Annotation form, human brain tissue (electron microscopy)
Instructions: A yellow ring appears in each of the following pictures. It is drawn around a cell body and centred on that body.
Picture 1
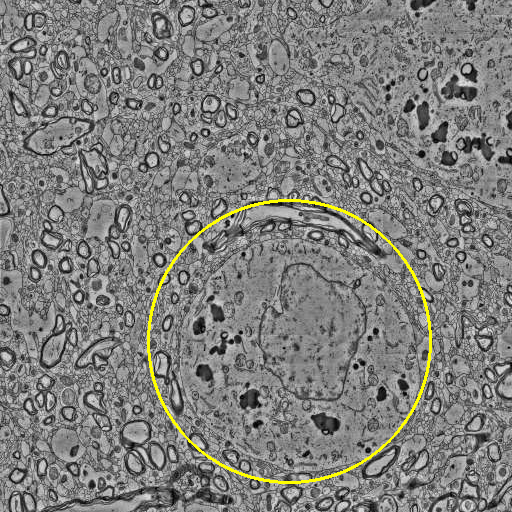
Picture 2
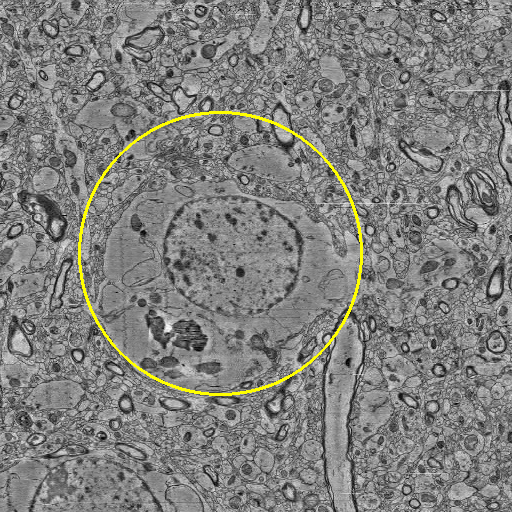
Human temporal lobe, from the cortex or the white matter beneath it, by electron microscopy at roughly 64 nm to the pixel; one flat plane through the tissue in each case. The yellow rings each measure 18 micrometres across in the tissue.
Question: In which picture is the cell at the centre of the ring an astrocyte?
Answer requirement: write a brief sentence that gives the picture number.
The cell at the centre of the ring in Picture 2 is the one asked for.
